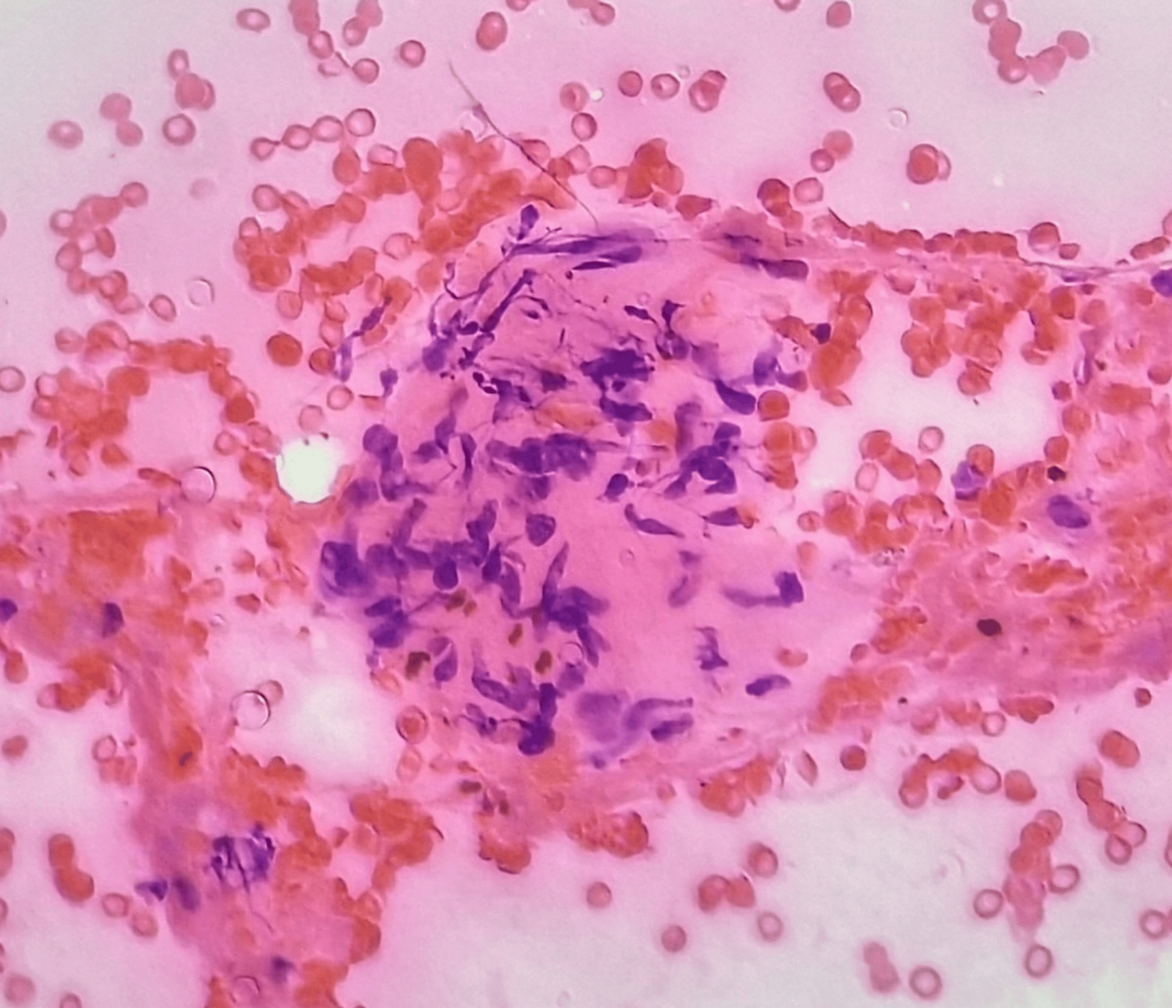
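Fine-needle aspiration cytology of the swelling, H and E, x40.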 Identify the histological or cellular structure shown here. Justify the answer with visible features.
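Pale pink, finely fibrillar matrix surrounds the nuclei. Cell borders cannot be made out within the pink matrix. That points to this answer: fibrillary material.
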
